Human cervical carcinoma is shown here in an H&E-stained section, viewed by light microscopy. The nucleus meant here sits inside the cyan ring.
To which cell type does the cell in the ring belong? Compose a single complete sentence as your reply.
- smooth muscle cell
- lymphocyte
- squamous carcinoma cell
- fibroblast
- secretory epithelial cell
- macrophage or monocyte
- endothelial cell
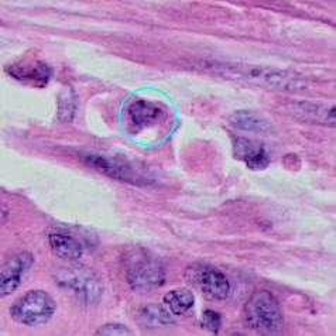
For cell typing purposes, the cell in the ring is a macrophage or monocyte.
